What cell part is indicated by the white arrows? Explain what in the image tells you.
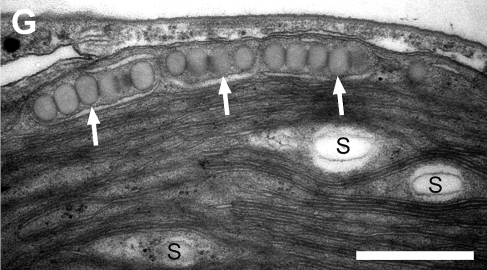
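A single row of uniform spherical globules lies at the chloroplast edge. The globules sit between the outer membranes and the thylakoid stacks. The answer: eyespot.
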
